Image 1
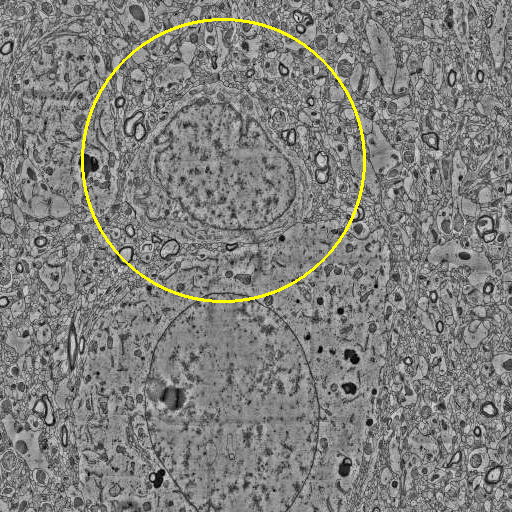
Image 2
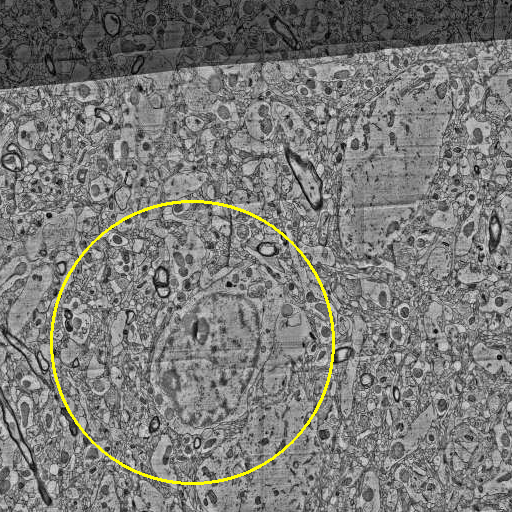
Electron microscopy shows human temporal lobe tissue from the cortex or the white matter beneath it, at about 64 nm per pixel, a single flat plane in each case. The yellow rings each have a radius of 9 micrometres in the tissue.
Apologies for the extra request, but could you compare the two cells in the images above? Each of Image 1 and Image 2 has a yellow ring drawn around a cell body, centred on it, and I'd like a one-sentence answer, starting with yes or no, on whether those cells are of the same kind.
Yes, both cells are of the same kind.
